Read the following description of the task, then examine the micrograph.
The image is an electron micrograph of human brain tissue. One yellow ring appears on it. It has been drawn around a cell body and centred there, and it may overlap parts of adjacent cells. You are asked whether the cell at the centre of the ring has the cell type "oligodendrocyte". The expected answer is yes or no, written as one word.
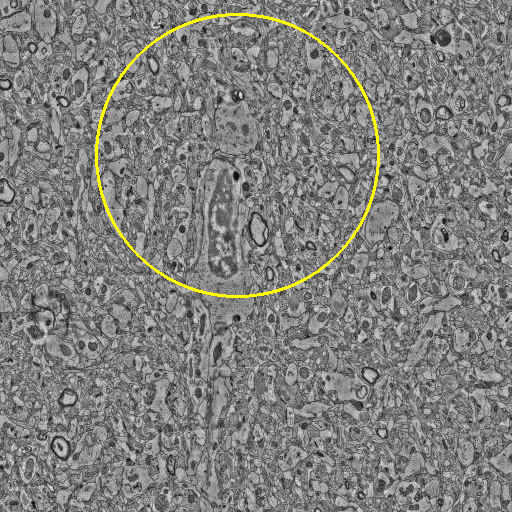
no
